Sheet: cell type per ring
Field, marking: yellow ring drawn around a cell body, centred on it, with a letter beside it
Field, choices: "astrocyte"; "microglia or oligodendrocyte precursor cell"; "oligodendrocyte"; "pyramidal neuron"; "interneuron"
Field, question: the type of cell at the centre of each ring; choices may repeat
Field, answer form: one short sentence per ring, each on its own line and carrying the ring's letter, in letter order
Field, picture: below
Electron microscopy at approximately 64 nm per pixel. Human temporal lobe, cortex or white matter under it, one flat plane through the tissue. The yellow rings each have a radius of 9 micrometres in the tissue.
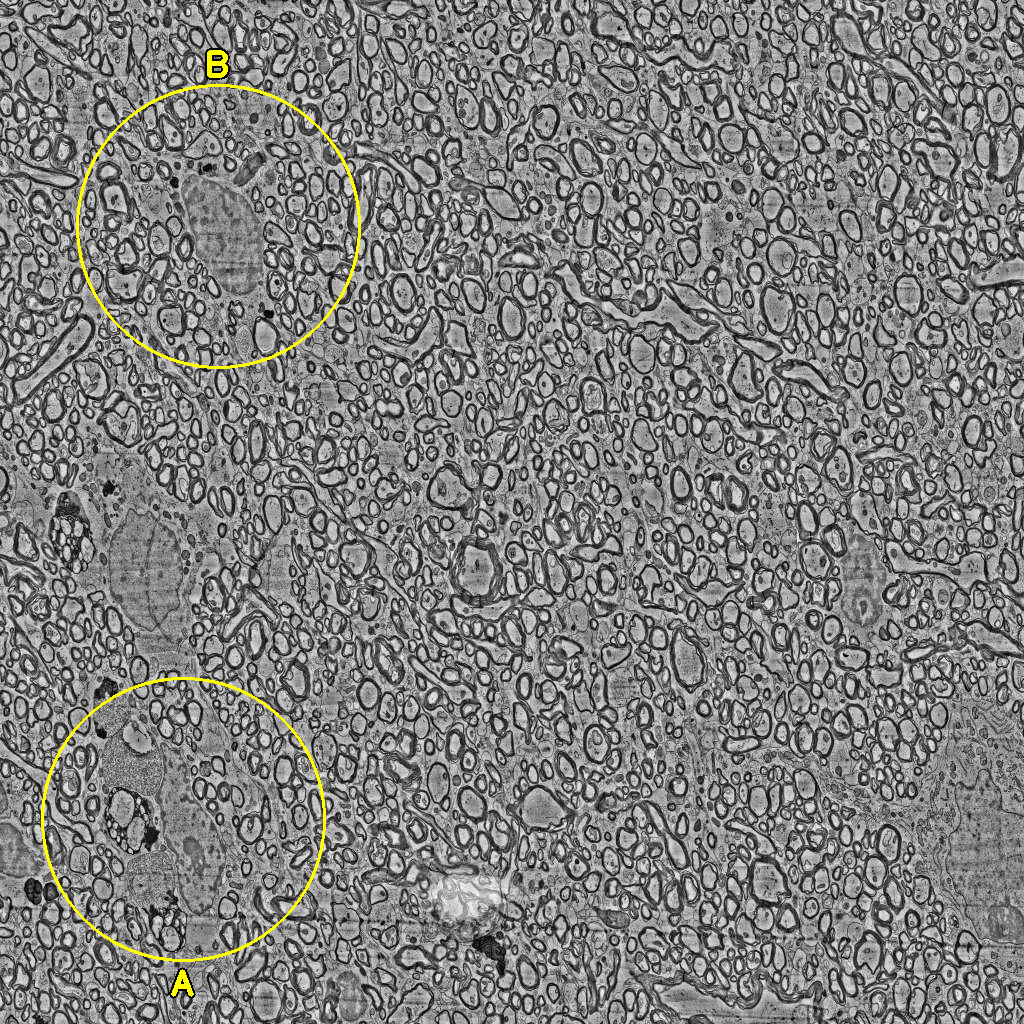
The cell body inside ring A, at its centre, is an astrocyte.
The cell body inside ring B, at its centre, is an oligodendrocyte.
